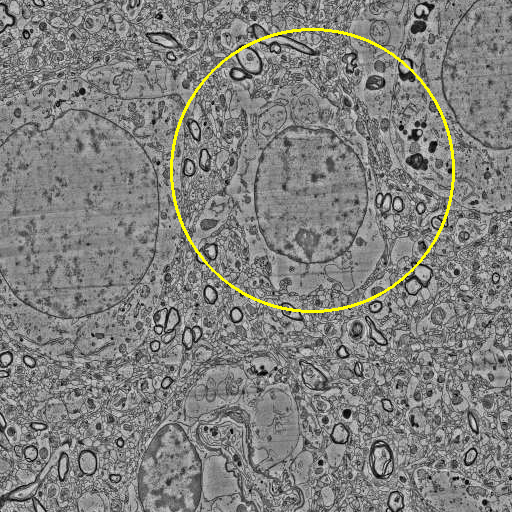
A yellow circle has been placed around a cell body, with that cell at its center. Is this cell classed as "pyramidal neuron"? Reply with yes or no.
No, it belongs to another class.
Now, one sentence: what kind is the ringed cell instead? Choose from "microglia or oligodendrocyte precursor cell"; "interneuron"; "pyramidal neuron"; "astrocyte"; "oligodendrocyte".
The cell marked by the ring is an astrocyte.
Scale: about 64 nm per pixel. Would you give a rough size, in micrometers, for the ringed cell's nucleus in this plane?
Approximately 9 x 7 micrometres in this plane.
